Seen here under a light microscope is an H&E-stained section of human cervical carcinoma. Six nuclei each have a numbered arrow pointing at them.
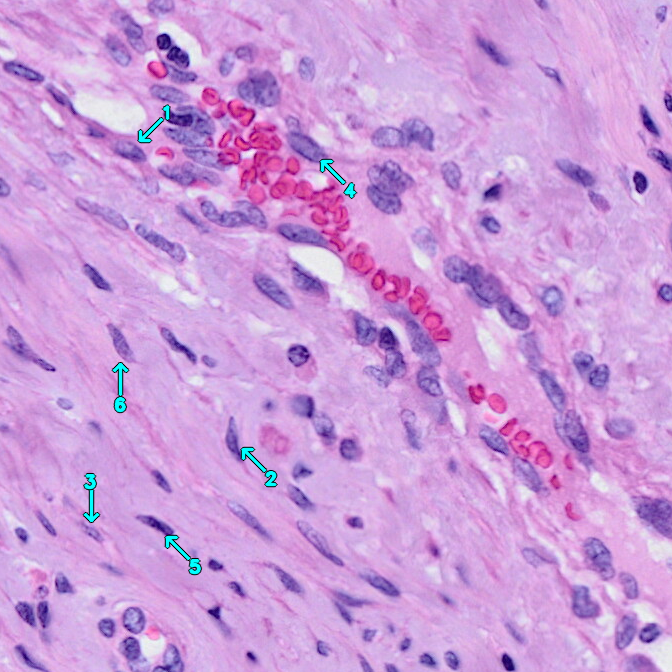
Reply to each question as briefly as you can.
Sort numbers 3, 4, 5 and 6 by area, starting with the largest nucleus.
4, 6, 5, 3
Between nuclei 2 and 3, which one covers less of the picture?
3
